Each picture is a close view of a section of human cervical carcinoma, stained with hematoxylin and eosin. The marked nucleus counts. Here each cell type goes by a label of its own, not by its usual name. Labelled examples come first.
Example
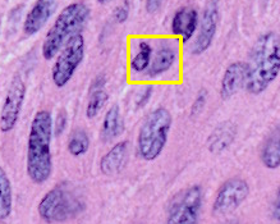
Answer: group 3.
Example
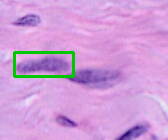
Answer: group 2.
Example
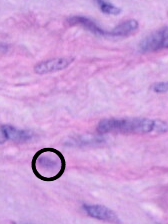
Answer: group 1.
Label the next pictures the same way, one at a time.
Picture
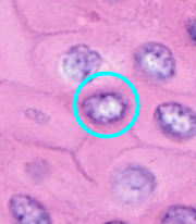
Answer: group 3.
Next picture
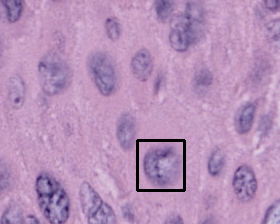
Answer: group 3.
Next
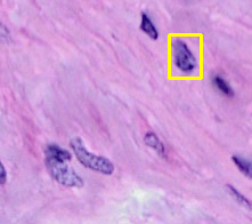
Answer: group 2.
